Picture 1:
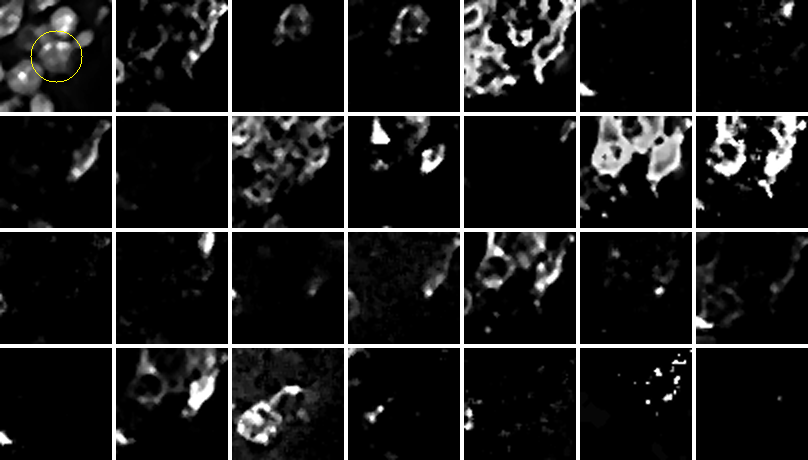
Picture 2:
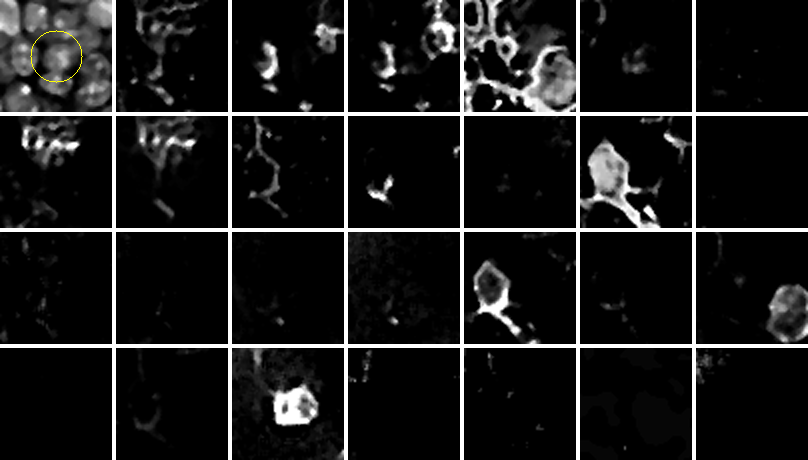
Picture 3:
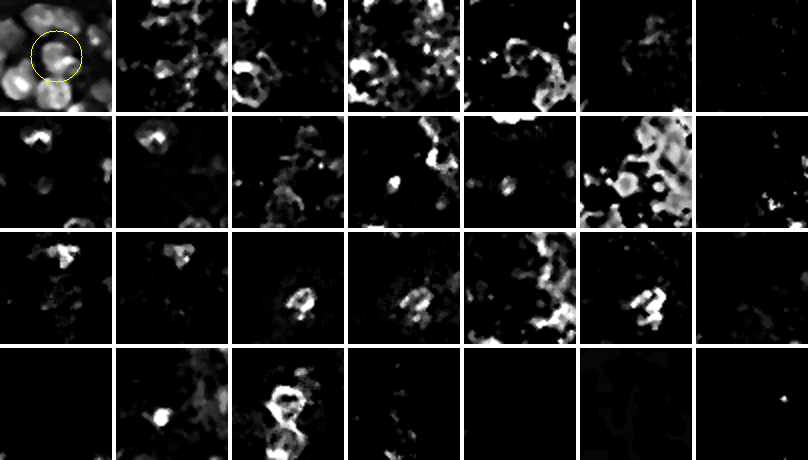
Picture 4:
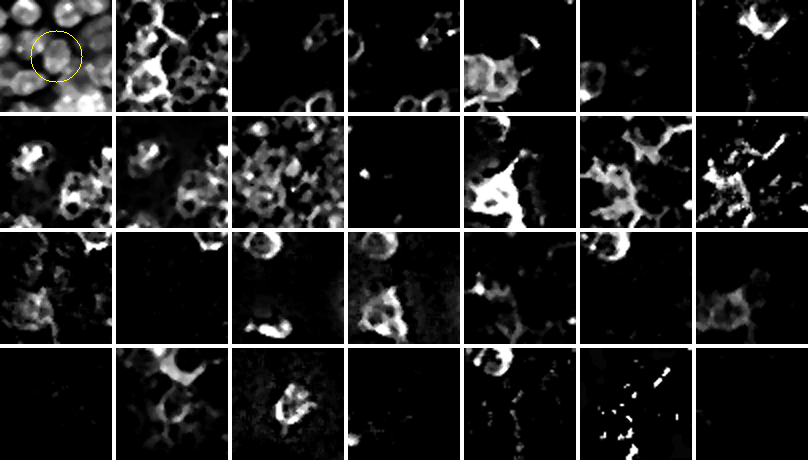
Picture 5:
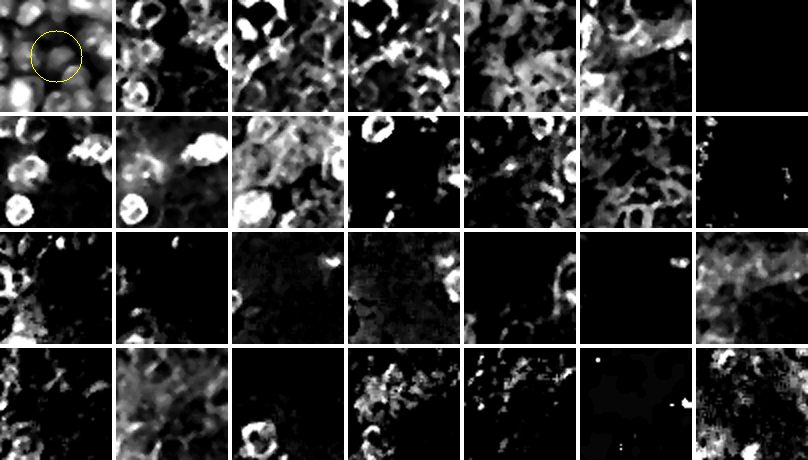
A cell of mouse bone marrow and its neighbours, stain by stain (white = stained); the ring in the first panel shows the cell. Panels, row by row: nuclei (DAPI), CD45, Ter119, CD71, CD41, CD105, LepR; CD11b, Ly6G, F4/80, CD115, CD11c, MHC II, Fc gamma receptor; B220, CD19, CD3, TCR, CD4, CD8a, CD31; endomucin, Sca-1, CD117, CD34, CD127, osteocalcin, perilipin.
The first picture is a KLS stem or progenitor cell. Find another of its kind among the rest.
Picture 3.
